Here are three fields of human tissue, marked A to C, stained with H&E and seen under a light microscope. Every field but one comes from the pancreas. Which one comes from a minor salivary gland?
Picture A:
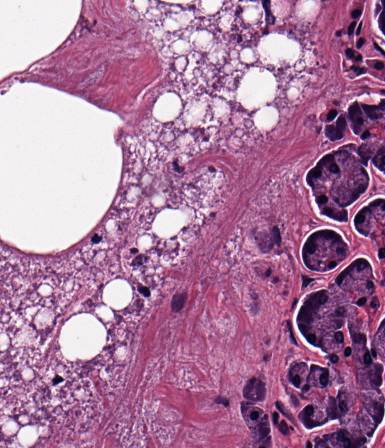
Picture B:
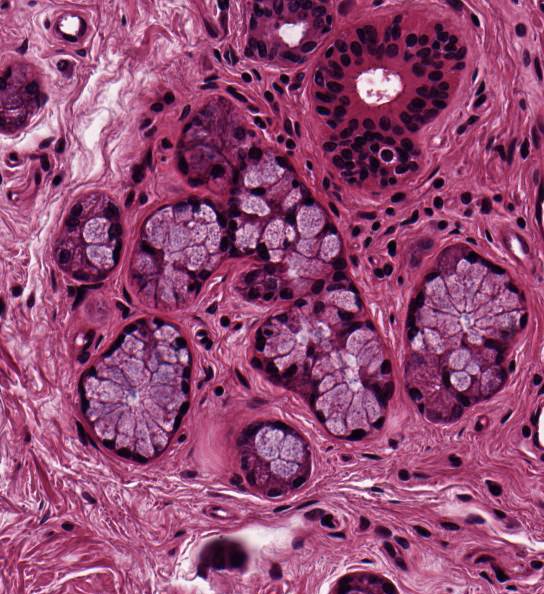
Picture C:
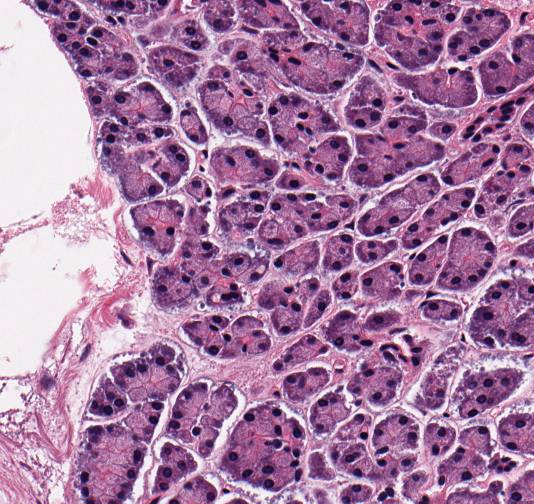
B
